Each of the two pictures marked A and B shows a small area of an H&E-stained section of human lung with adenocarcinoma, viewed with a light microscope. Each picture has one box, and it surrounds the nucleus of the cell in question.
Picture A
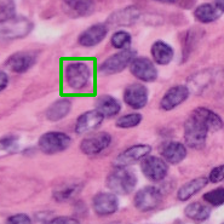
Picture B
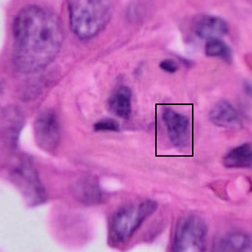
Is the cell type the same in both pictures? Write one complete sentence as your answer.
No, picture A shows a lymphocyte and picture B shows a plasma cell.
